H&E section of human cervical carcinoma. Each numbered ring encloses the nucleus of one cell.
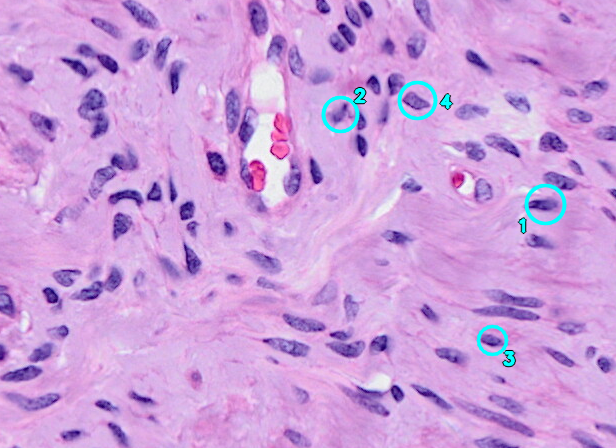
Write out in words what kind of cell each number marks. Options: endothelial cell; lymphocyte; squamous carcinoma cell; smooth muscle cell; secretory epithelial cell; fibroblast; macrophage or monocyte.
Cells 1, 2 and 4 are fibroblasts. Cell 3 is a smooth muscle cell.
